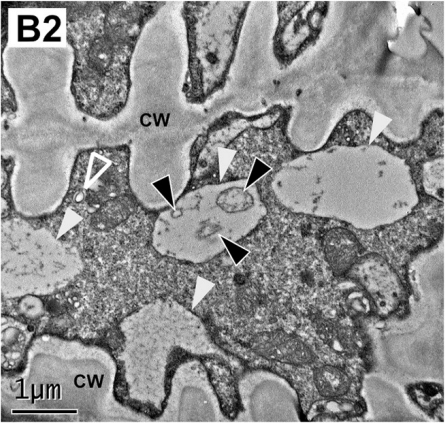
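Close view of immature xylem cells with thick, lobed wall projections extending into the cytoplasm. Between the wall lobes lies dense granular cytoplasm holding several pale, rounded compartments. Some compartments contain small membrane-bound vesicles, and a small vesicle lies free in the cytoplasm near the wall.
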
